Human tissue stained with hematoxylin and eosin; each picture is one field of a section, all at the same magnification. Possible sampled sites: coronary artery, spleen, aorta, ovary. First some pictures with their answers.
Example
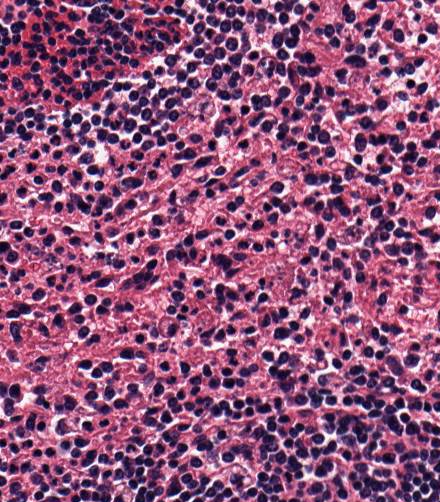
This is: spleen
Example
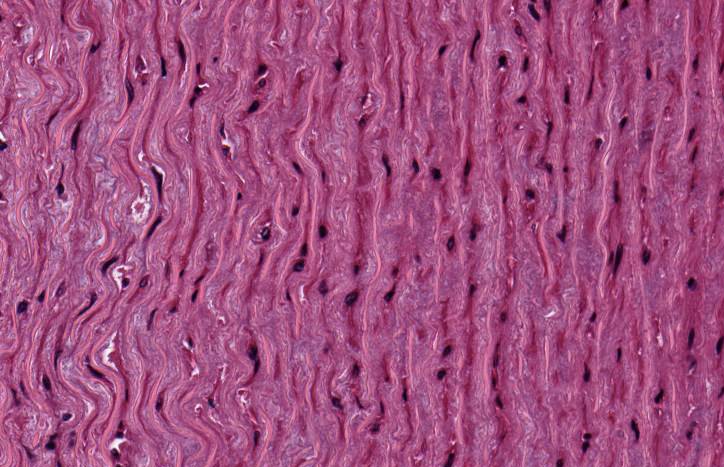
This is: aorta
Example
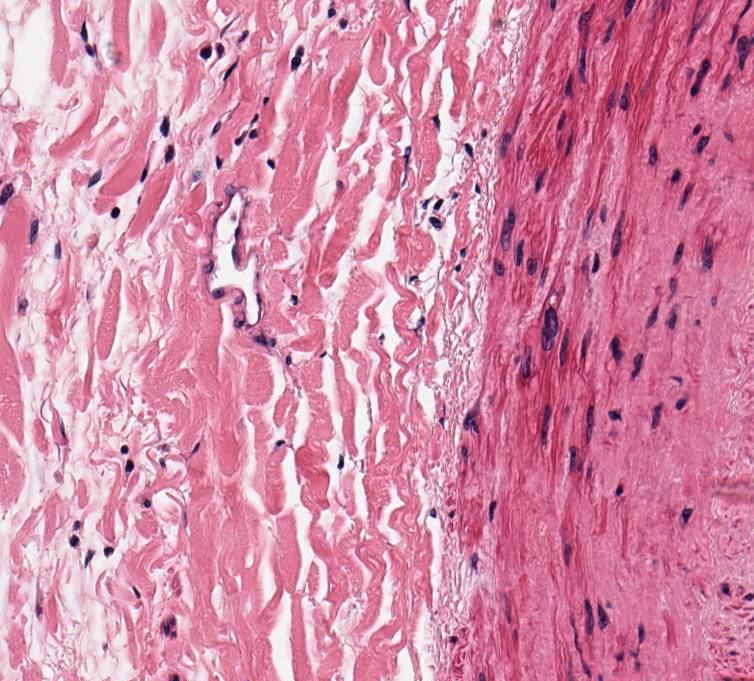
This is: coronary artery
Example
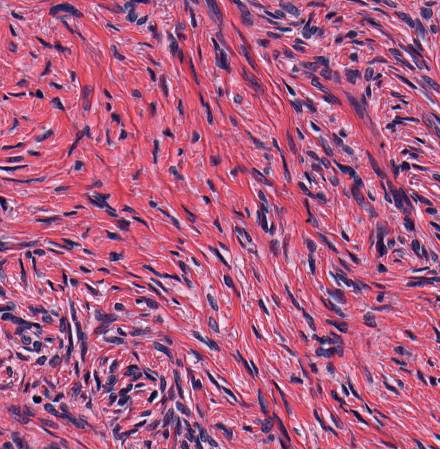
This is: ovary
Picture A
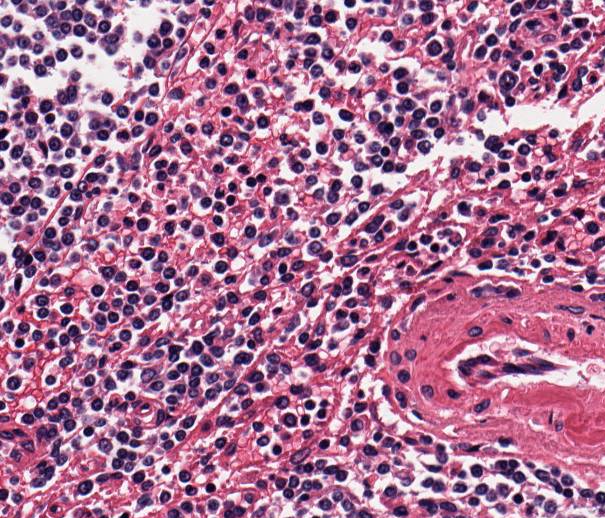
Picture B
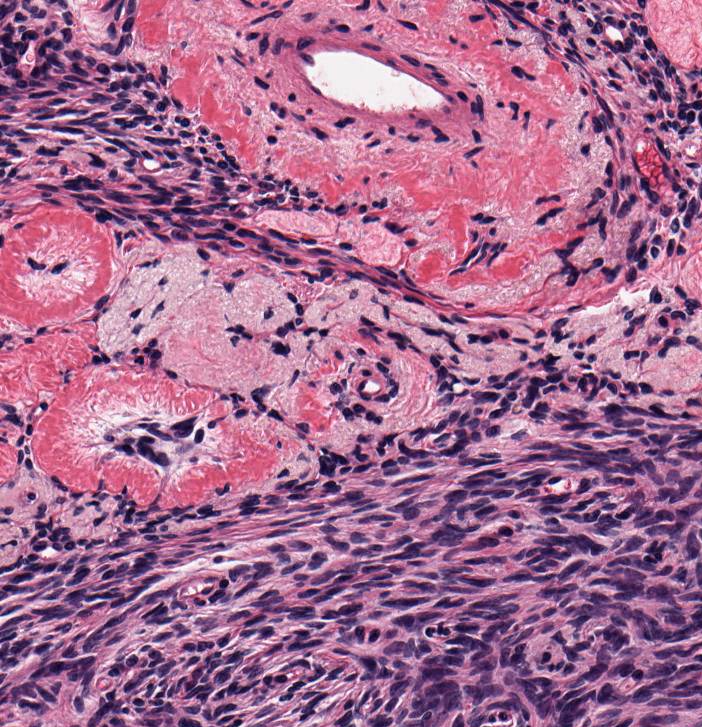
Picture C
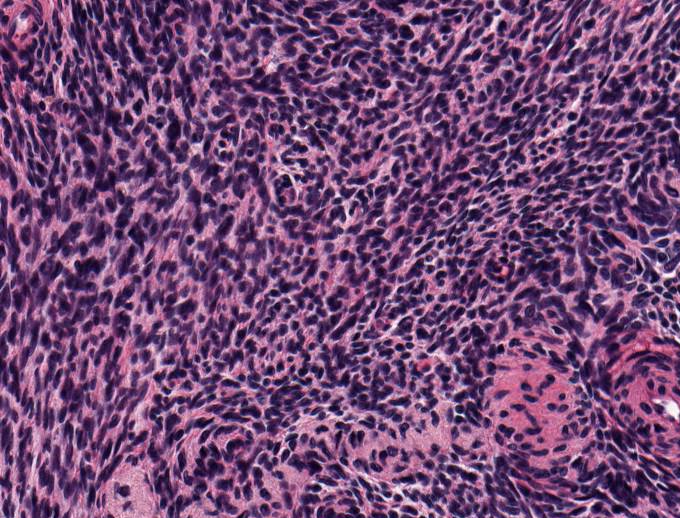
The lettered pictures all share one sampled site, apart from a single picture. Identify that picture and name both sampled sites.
Different: A, spleen. Others: ovary.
